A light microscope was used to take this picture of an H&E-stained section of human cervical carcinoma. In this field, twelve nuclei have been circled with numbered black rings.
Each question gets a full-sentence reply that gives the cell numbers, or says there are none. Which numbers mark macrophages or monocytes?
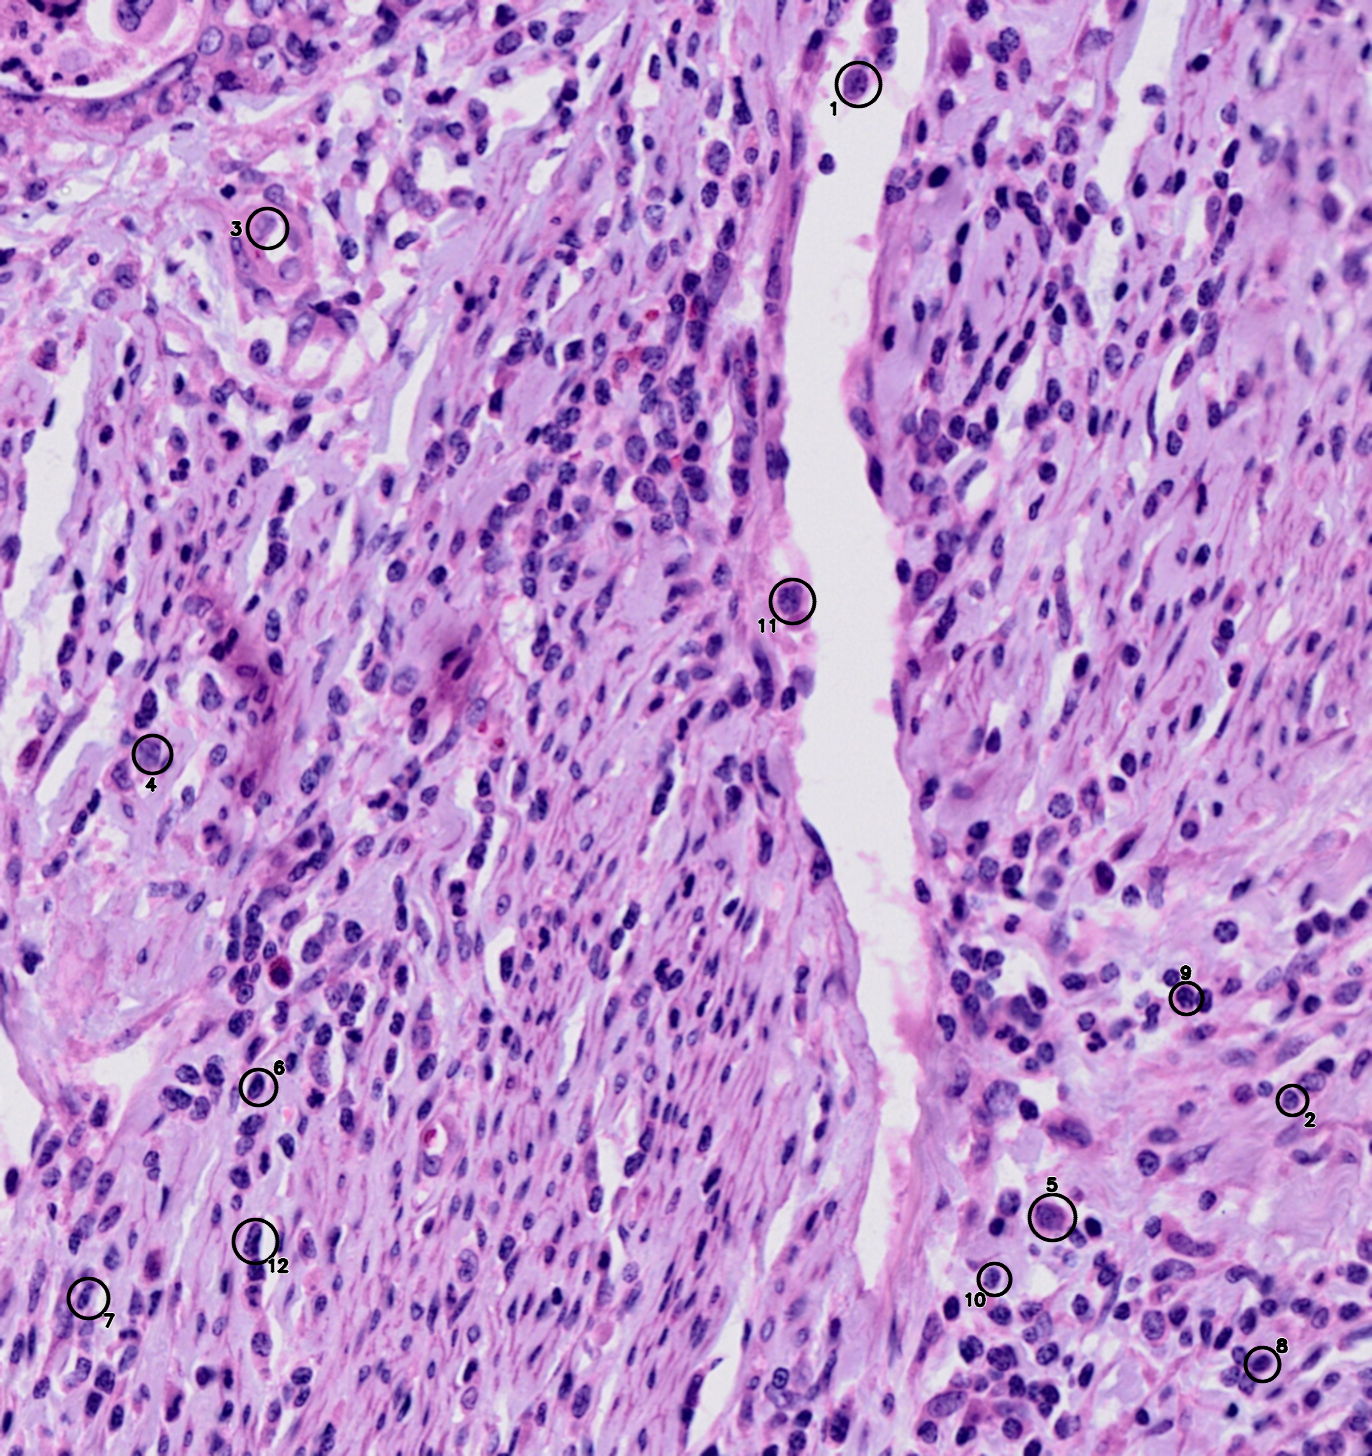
The cells that have been numbered 1, 4, 5 and 11 are macrophages or monocytes.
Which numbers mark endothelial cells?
Where the numbered cells are concerned, only number 3 is an endothelial cell.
